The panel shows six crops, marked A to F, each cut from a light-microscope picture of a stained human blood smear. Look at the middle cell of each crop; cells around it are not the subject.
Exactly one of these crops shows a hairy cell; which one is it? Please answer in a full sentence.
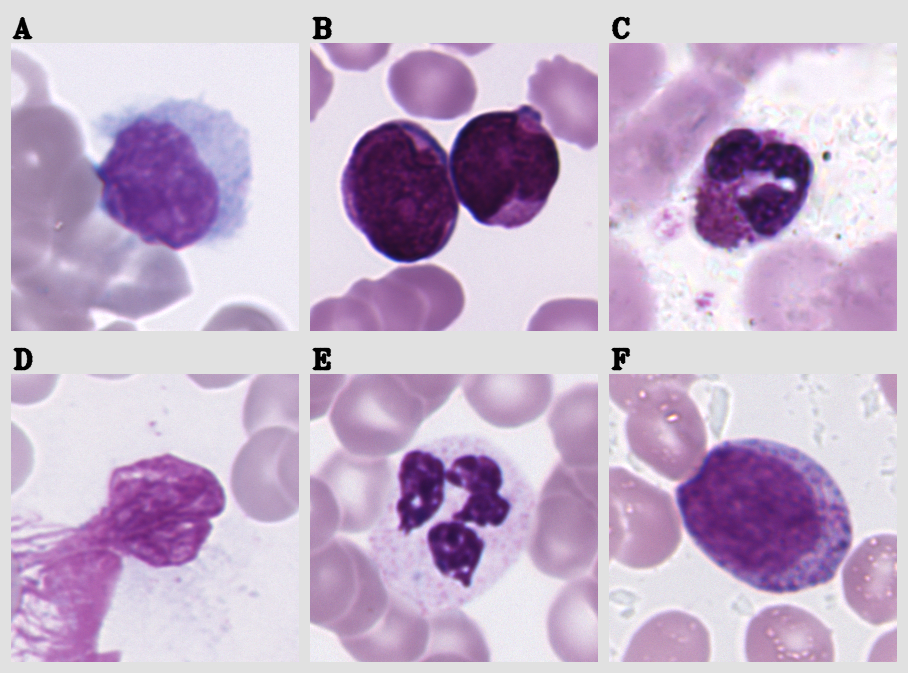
The crop marked A is the one in which a hairy cell is shown.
